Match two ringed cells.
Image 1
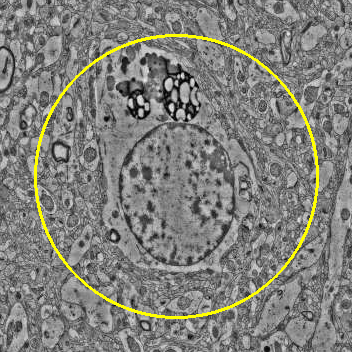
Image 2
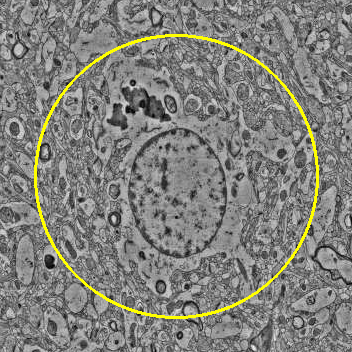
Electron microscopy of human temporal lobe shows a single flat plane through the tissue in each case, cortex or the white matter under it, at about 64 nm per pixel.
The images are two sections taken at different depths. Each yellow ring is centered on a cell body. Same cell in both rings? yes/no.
yes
